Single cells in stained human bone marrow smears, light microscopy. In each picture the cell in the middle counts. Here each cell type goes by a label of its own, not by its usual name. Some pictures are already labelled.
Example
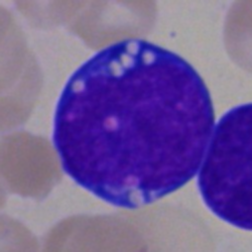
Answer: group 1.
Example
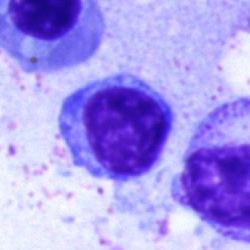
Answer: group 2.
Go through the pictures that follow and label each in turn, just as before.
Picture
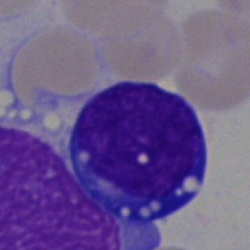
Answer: group 1.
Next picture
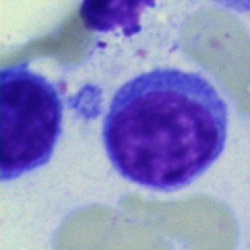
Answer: group 2.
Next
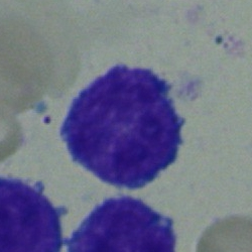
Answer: group 1.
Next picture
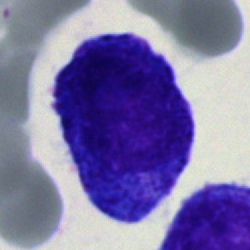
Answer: group 1.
